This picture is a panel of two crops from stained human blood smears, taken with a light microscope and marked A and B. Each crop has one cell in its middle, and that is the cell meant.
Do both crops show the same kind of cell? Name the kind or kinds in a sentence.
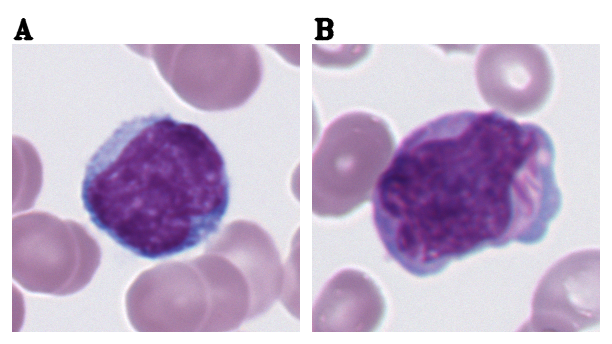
No, a monocyte and an atypical promyelocyte are found in crop A and crop B, respectively.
